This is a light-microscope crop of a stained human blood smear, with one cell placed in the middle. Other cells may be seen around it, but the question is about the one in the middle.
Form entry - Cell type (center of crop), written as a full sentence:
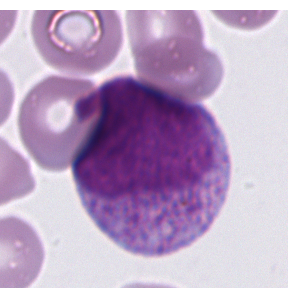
Regarding the central cell, it is a myelocyte.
